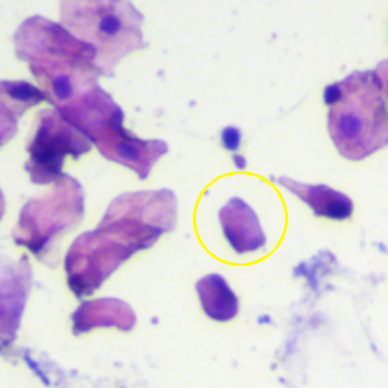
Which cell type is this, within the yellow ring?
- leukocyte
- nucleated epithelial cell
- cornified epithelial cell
Within the ring is a cornified epithelial cell.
